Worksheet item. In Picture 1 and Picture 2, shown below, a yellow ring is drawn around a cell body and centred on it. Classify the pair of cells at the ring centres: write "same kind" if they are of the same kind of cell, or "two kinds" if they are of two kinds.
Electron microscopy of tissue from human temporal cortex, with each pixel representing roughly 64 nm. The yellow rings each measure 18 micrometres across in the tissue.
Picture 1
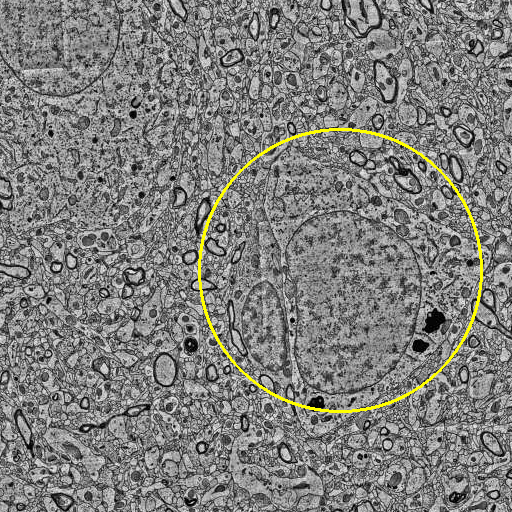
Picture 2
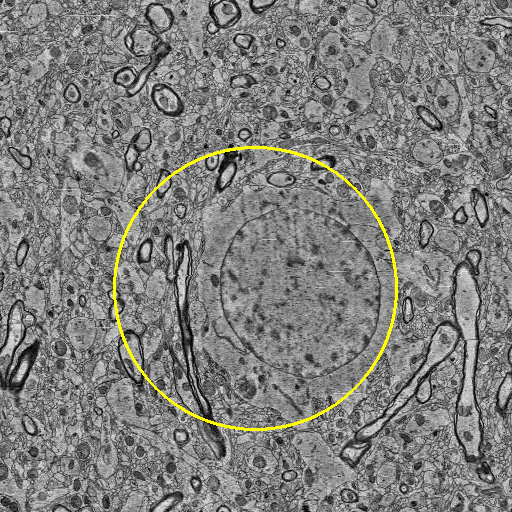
two kinds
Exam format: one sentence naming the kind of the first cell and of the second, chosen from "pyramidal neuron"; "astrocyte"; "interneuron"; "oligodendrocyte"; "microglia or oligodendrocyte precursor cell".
The first picture's cell is a pyramidal neuron, and the second picture's cell is an astrocyte.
